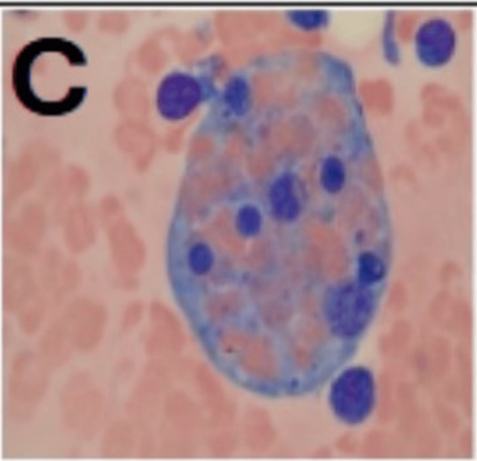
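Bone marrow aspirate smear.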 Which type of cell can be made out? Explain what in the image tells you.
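Macrophage. A cell many times the size of the surrounding red cells. Abundant blue cytoplasm packed with engulfed pink bodies and small nuclei.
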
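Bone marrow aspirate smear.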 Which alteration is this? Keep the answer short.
Hemophagocytosis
